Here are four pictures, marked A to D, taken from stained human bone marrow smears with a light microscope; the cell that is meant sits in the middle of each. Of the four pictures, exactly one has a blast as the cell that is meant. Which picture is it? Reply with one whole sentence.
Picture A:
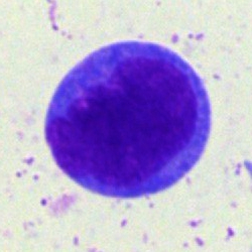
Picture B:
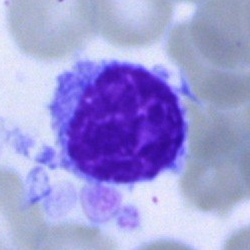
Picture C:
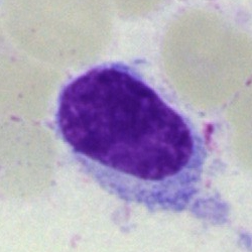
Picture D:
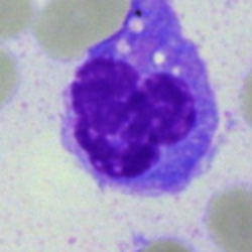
The picture with the blast is A.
